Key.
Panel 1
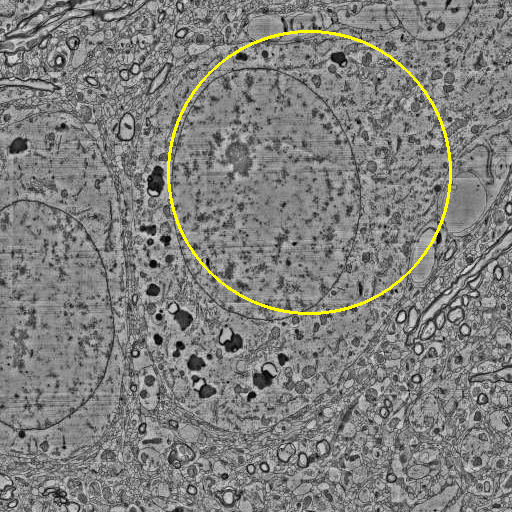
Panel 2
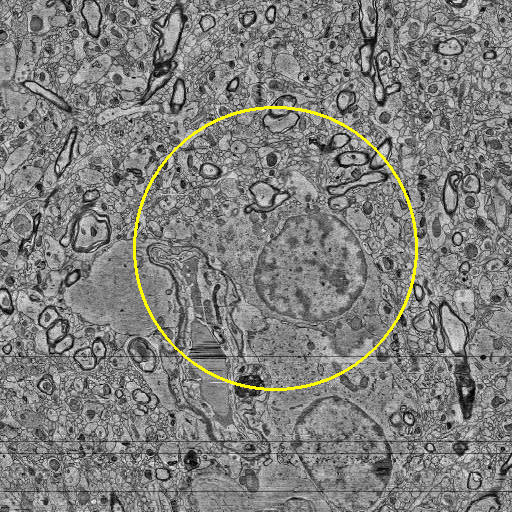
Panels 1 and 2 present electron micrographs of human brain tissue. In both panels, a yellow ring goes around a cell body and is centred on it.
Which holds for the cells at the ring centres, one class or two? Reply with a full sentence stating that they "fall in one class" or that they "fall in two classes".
Taken together, the ring-centre cells of the two panels fall in two classes.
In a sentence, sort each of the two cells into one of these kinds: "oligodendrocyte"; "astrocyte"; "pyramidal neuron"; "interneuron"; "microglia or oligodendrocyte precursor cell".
The first of the two cells is a pyramidal neuron, and the second is an oligodendrocyte.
